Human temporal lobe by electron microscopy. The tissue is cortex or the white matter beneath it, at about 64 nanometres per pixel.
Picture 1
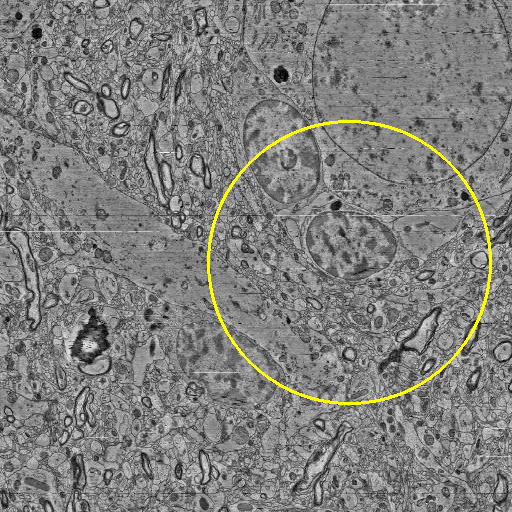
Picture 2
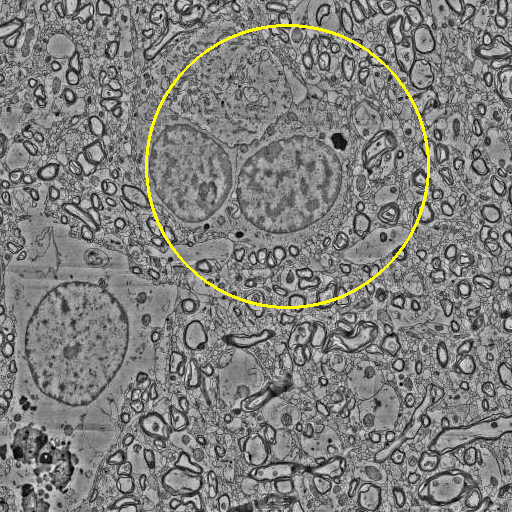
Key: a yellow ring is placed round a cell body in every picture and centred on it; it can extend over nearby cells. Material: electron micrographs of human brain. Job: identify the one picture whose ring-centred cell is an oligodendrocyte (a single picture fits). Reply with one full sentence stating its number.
Picture 2 is the one with the sought cell at the centre of its ring.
